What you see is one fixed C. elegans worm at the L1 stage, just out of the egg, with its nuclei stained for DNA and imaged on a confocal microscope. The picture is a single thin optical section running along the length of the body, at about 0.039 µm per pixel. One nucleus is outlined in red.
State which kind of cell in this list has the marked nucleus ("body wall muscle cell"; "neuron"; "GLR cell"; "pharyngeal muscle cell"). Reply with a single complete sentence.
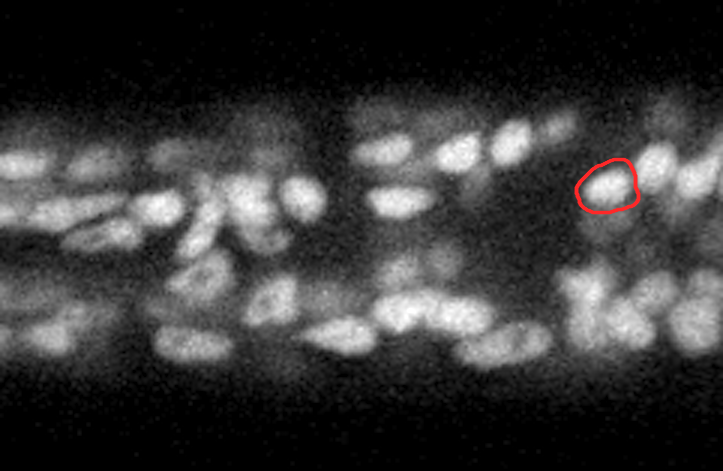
It belongs to a GLR cell.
